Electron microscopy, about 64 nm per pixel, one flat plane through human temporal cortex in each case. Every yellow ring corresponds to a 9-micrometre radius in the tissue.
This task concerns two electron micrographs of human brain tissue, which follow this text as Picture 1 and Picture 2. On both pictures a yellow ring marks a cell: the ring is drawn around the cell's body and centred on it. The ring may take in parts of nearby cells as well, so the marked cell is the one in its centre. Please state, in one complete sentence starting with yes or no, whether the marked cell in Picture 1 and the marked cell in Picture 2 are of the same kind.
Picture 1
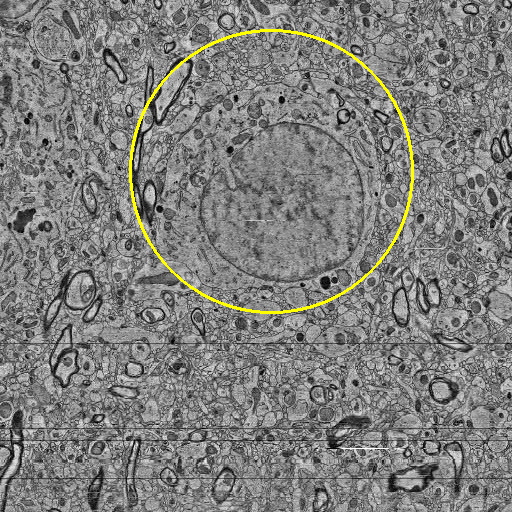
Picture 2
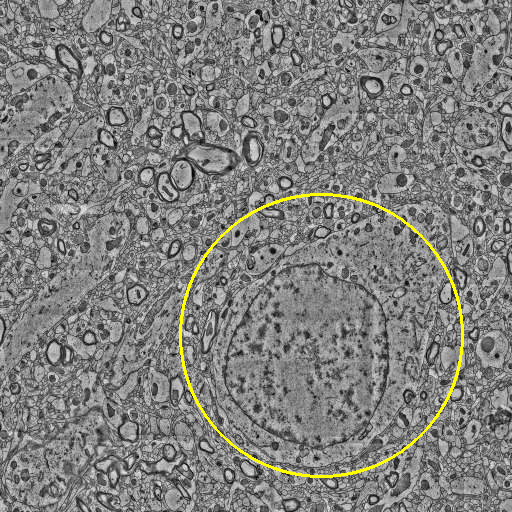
Yes, the marked cells in both pictures are of the same kind.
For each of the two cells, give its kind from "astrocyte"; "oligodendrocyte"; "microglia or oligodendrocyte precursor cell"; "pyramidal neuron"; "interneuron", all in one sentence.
Each of the ringed cells, first and second, is an interneuron.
